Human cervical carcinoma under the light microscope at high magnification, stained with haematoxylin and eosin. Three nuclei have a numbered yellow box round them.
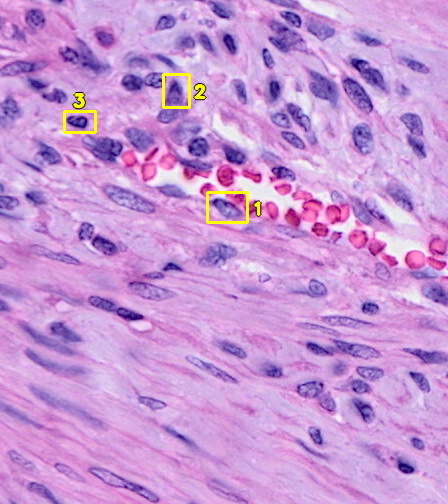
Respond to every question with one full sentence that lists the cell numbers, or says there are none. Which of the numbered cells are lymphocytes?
The cells tagged with numbers 2 and 3 are lymphocytes.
